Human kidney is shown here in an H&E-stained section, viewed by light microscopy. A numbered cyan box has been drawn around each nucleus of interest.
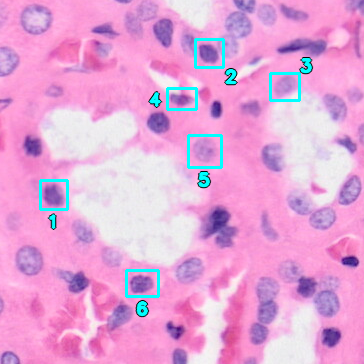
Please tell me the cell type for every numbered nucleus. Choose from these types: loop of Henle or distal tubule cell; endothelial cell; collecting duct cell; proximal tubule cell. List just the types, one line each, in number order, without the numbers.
loop of Henle or distal tubule cell
collecting duct cell
loop of Henle or distal tubule cell
endothelial cell
loop of Henle or distal tubule cell
loop of Henle or distal tubule cell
